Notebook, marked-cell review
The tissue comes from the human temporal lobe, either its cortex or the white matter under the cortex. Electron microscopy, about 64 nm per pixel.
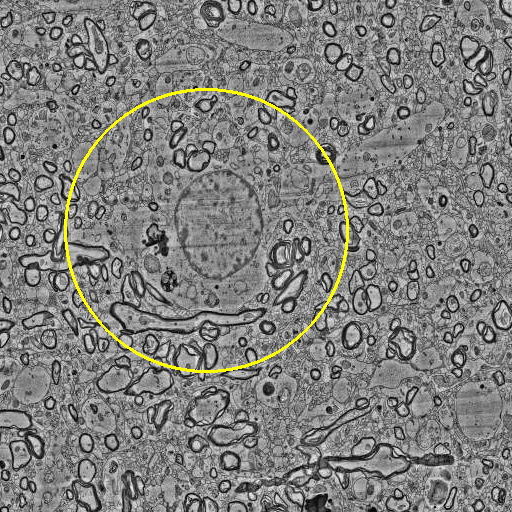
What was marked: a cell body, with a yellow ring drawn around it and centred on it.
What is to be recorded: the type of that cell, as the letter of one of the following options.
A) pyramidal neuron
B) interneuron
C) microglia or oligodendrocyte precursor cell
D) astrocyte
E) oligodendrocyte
D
